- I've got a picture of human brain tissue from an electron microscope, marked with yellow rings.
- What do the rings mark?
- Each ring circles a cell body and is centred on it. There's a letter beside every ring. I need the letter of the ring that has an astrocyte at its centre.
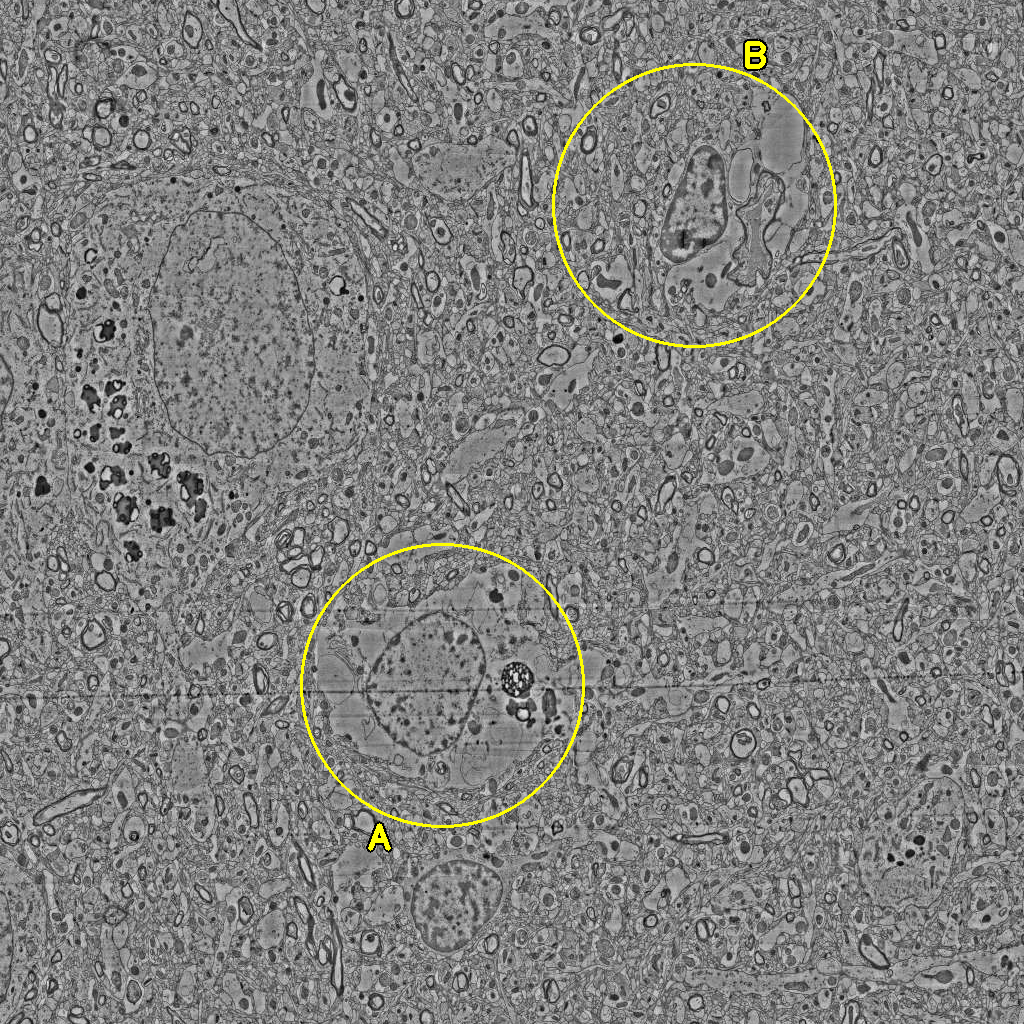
A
